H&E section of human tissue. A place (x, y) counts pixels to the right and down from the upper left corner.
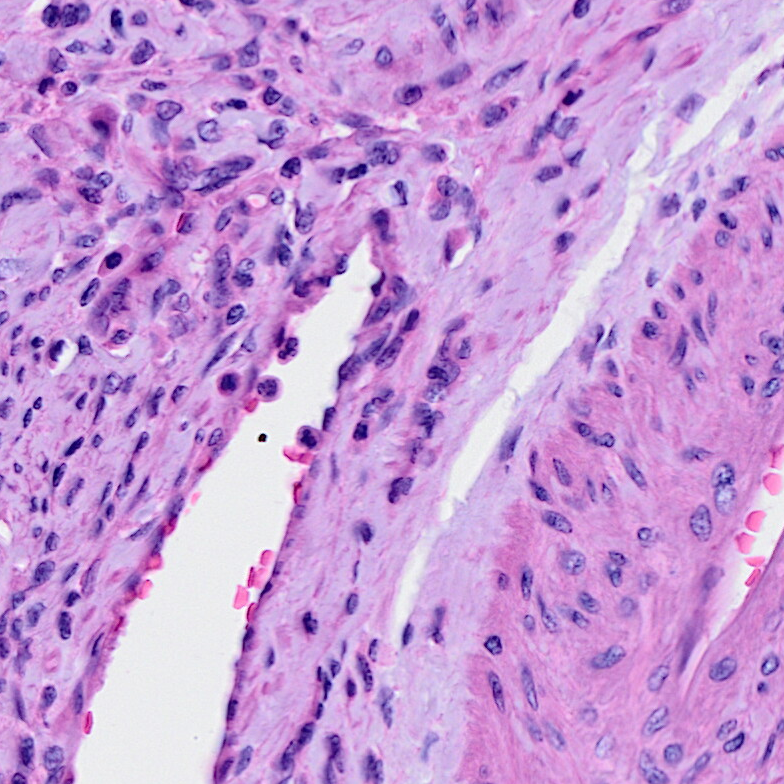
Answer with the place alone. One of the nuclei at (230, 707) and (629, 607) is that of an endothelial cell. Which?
(230, 707)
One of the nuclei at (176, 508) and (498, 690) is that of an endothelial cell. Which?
(176, 508)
